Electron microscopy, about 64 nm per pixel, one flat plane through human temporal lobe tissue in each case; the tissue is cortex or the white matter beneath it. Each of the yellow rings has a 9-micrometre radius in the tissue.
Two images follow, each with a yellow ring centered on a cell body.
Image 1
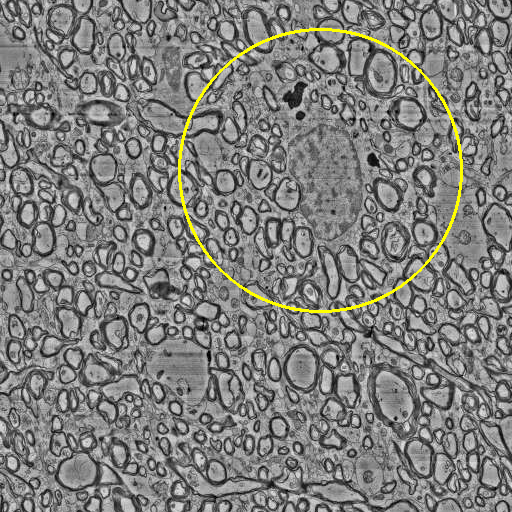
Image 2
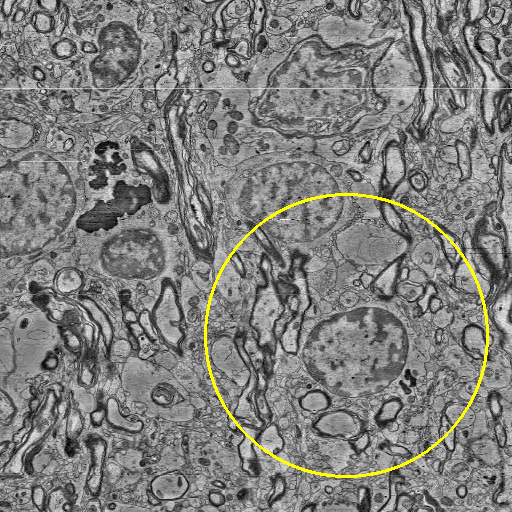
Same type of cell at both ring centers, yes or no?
no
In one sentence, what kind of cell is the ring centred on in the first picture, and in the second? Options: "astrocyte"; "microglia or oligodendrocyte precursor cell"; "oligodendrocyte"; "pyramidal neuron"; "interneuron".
The cell at the centre of the second ring is a microglial cell or oligodendrocyte precursor cell; the first ring's cell is an oligodendrocyte.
